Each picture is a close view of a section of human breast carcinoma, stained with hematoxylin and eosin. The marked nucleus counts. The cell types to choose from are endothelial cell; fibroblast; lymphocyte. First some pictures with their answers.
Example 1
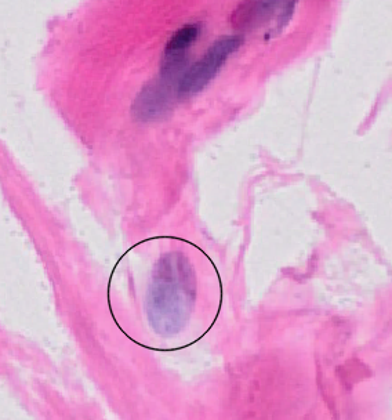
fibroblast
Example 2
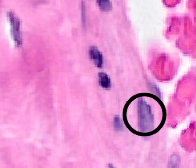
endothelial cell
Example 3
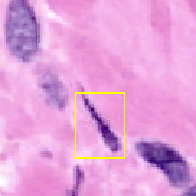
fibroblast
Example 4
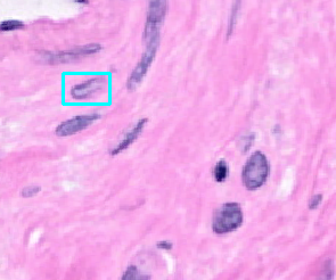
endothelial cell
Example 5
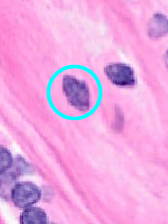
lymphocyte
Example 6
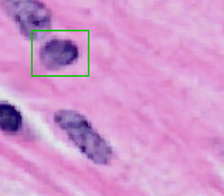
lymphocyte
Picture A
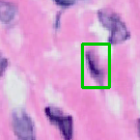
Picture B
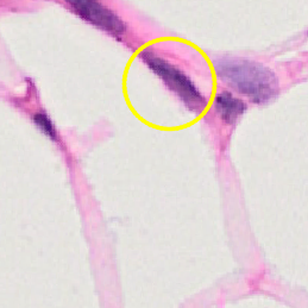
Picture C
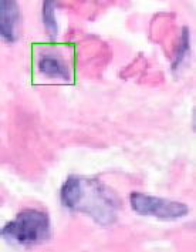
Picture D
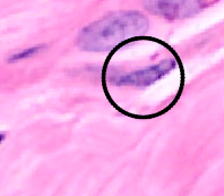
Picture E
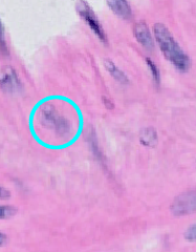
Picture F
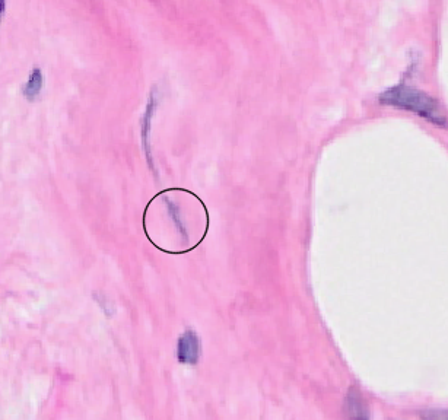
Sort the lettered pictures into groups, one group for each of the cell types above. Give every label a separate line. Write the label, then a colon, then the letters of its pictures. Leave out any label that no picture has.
endothelial cell: B, C, D, E
fibroblast: A, F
